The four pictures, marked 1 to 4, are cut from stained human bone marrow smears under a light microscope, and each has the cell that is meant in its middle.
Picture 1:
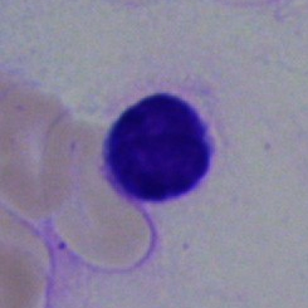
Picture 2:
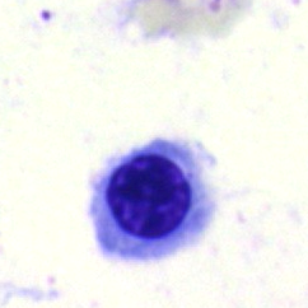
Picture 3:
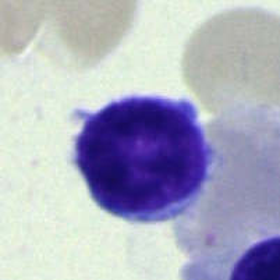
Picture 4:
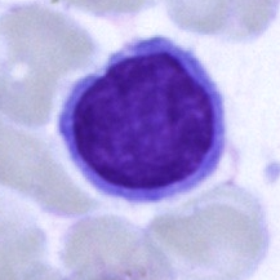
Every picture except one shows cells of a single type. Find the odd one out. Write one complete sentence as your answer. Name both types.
Unlike the rest, which show lymphocytes, picture 2 shows an erythroblast.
